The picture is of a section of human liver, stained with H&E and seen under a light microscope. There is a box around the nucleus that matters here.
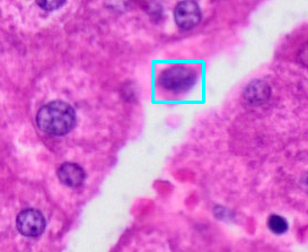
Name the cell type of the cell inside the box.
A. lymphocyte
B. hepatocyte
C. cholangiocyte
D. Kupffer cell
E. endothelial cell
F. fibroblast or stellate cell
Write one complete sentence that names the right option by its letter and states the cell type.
Option D, which has the cell inside the box as a Kupffer cell, is the correct choice.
